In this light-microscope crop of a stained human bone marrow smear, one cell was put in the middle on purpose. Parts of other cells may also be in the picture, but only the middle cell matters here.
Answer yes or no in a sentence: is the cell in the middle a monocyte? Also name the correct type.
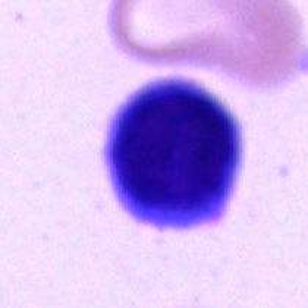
No, the cell in the centre is to be called a lymphocyte instead of a monocyte.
